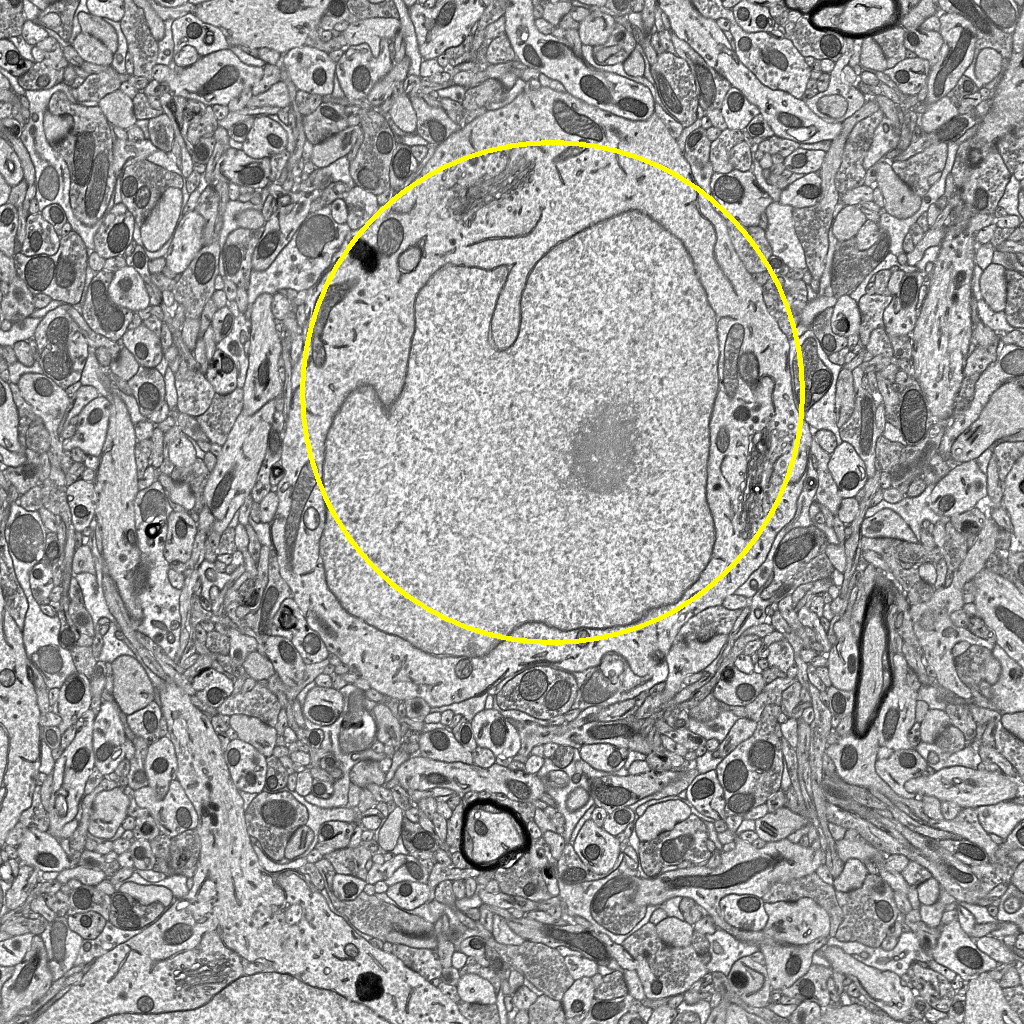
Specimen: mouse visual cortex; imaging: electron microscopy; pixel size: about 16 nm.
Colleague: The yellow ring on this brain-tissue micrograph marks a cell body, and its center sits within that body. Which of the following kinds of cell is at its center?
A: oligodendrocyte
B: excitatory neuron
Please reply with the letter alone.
B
